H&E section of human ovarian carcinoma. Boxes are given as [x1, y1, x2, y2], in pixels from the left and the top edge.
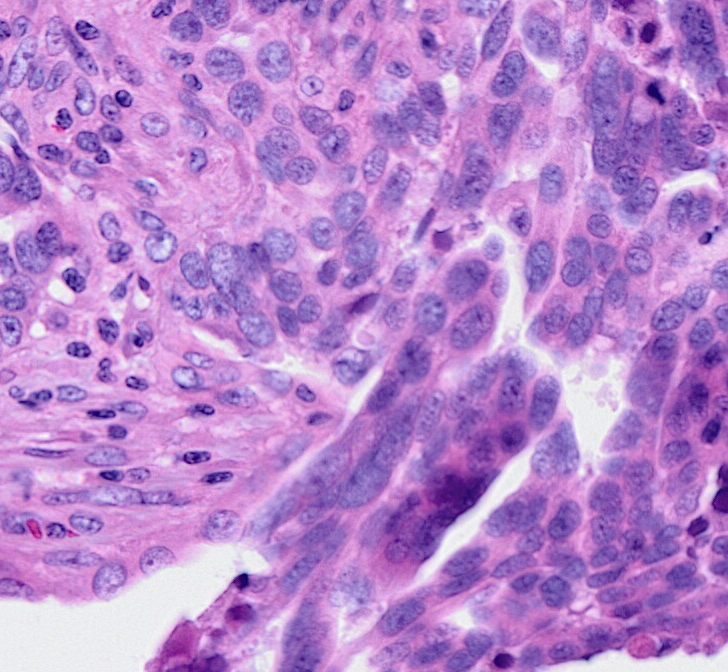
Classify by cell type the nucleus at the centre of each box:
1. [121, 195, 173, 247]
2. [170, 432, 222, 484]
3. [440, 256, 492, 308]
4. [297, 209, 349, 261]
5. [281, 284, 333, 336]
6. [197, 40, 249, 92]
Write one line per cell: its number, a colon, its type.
1: fibroblast
2: lymphocyte
3: carcinoma cell
4: carcinoma cell
5: carcinoma cell
6: carcinoma cell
